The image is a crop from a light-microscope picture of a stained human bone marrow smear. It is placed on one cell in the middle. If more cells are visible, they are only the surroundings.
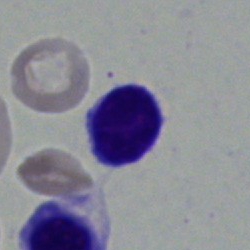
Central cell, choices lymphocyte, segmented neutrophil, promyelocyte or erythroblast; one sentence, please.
Occupying the centre of the crop is a lymphocyte.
